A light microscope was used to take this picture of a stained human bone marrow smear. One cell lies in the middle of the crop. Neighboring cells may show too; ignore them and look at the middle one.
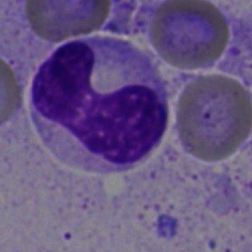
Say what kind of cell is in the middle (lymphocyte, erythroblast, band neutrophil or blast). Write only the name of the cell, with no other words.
band neutrophil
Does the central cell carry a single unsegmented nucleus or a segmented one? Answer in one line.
Between us, the nucleus here is just one compact mass, round, oval or kidney-shaped.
